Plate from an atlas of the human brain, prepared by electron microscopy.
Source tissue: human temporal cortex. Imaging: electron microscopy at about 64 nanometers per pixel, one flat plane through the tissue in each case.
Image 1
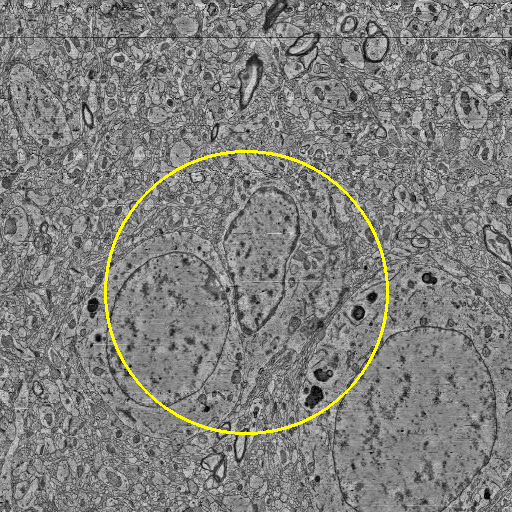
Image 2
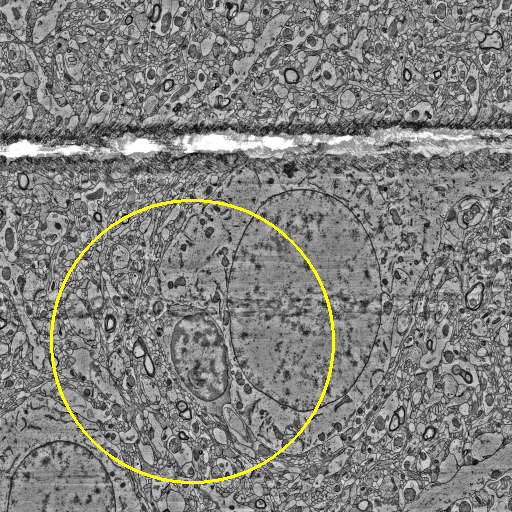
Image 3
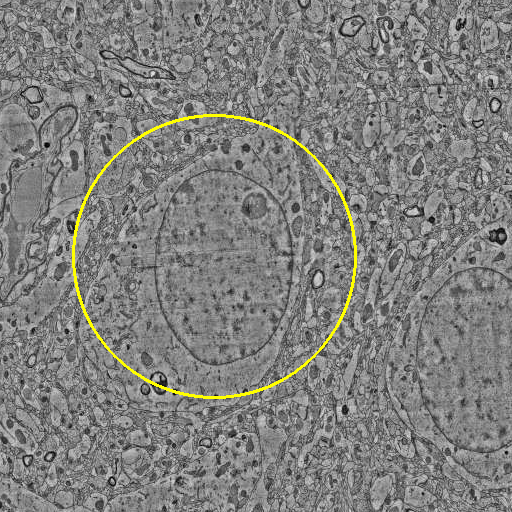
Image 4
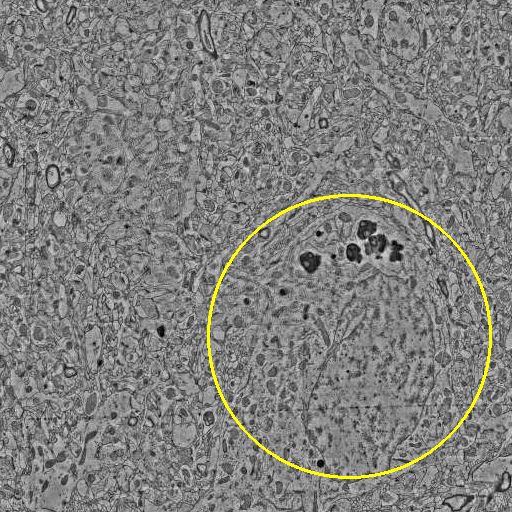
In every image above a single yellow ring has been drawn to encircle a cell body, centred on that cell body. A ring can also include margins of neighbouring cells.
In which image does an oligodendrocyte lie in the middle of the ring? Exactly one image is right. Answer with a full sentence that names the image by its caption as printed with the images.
Image 2 holds the requested cell at the very centre of its ring.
